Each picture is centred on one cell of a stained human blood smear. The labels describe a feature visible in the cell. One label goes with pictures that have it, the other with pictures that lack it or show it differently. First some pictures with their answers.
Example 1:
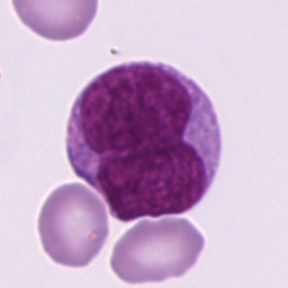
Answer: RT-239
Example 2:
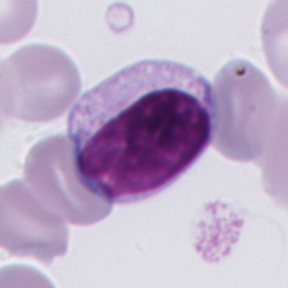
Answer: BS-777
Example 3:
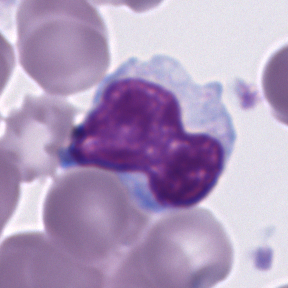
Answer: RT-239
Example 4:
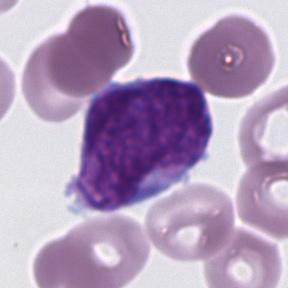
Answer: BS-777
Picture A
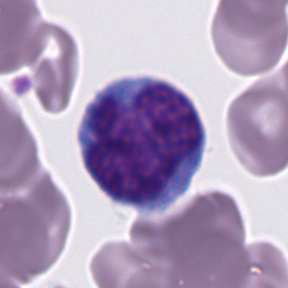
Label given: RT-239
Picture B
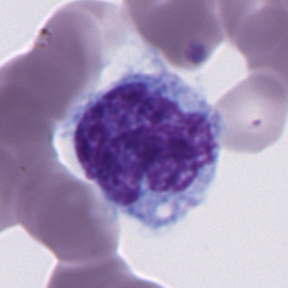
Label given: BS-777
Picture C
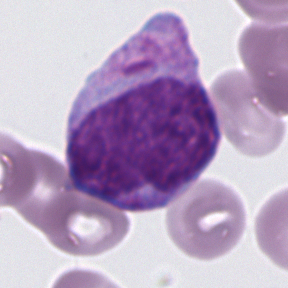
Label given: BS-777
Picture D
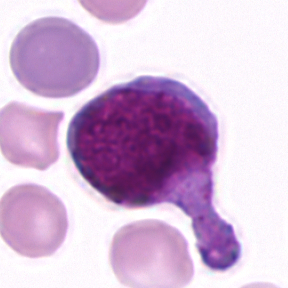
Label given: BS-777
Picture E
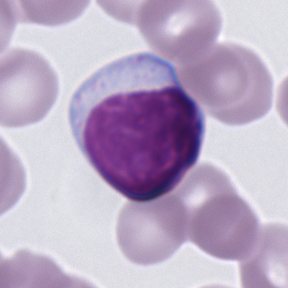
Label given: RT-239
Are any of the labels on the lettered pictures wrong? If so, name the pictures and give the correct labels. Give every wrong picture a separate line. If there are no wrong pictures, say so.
Wrong: A (RT-239); correct: BS-777
Wrong: E (RT-239); correct: BS-777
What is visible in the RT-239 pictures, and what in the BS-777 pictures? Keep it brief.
In RT-239: lobed nucleus. In BS-777: single compact nucleus.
